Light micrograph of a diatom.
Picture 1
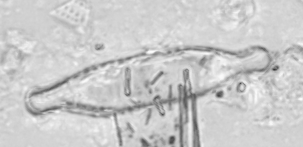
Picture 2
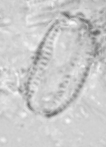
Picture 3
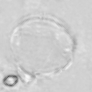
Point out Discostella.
That is picture 3.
